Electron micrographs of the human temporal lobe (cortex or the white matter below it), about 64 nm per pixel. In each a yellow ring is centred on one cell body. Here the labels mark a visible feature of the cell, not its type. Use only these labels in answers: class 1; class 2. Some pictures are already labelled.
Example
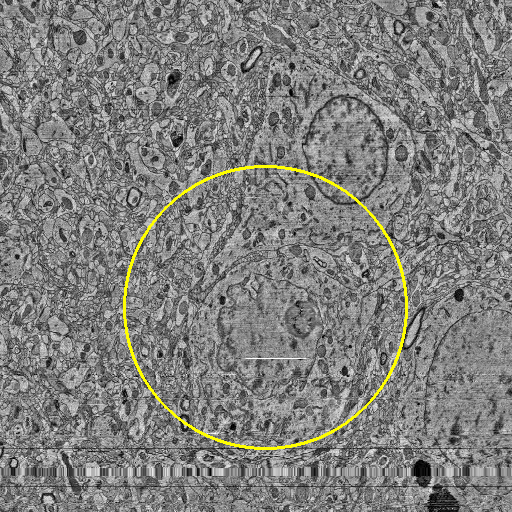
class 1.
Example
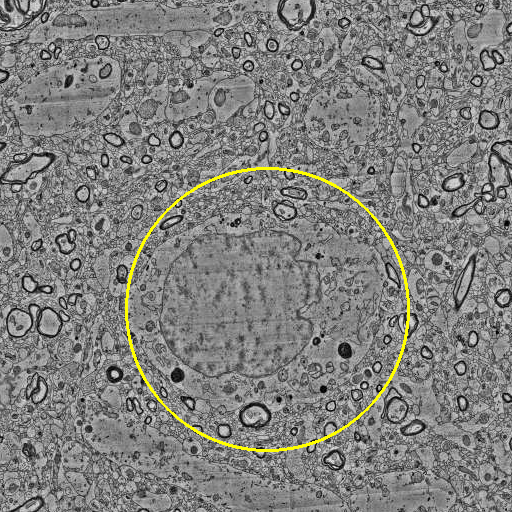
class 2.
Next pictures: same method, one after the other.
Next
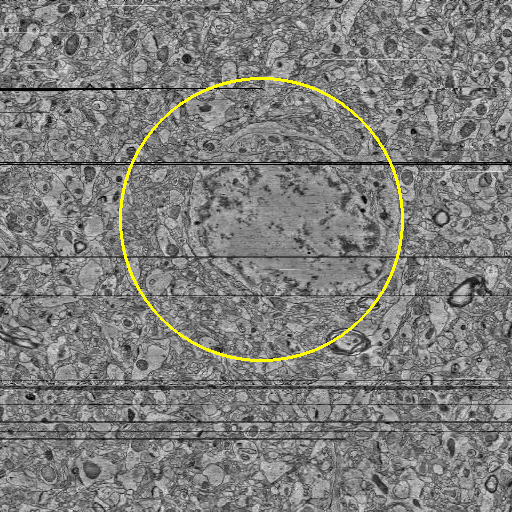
class 2.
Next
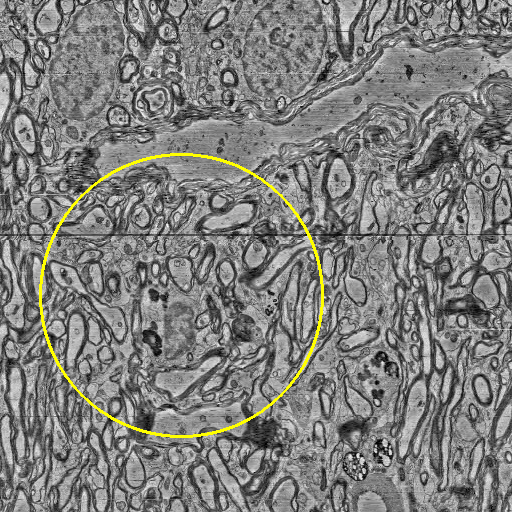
class 2.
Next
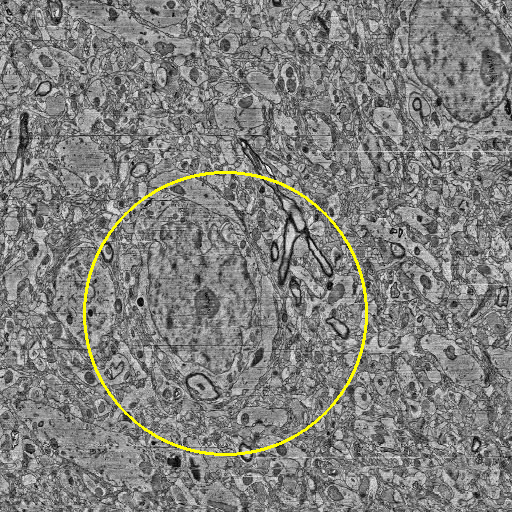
class 1.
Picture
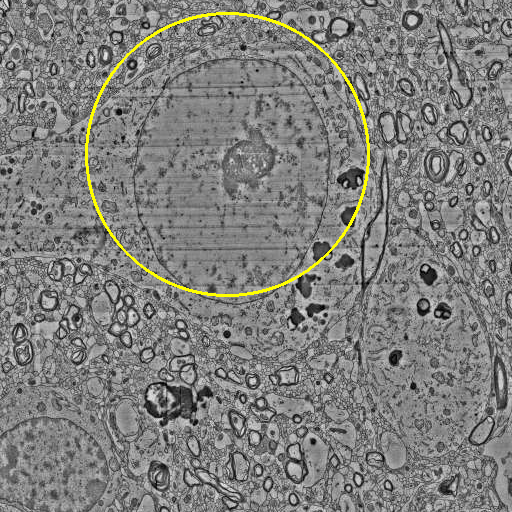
class 1.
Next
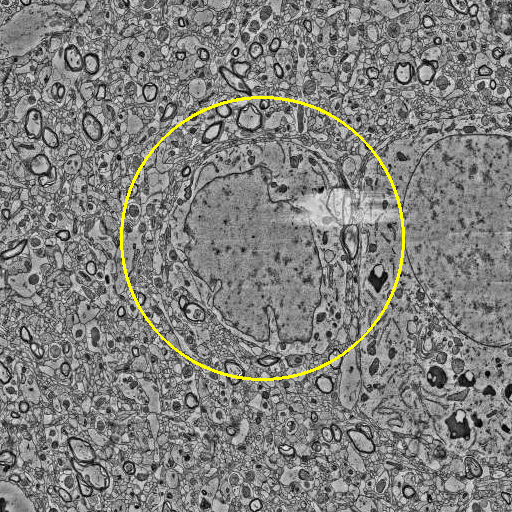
class 2.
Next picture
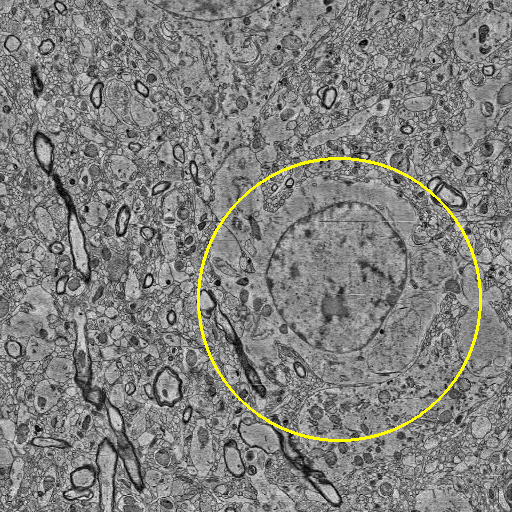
class 1.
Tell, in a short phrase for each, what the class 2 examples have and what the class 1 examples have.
class 2, no nucleolus seen; class 1, nucleolus seen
